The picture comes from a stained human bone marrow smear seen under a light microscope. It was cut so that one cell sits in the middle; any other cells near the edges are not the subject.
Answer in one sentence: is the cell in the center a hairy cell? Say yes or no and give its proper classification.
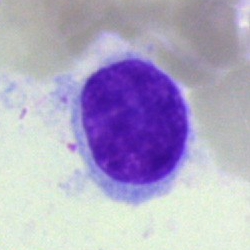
Yes, the cell in the middle has the identity of a hairy cell.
